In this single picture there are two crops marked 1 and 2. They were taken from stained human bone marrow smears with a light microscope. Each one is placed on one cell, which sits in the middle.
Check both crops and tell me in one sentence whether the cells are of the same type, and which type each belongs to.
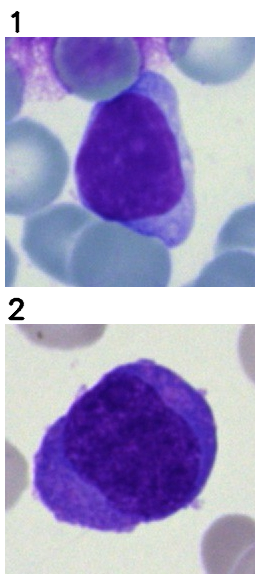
No, a lymphocyte and a blast are found in crop 1 and crop 2, respectively.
